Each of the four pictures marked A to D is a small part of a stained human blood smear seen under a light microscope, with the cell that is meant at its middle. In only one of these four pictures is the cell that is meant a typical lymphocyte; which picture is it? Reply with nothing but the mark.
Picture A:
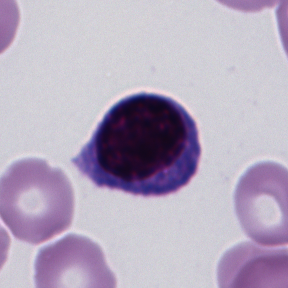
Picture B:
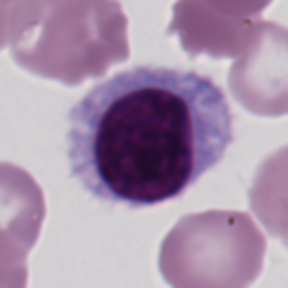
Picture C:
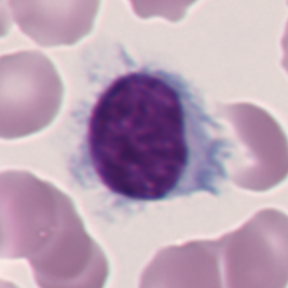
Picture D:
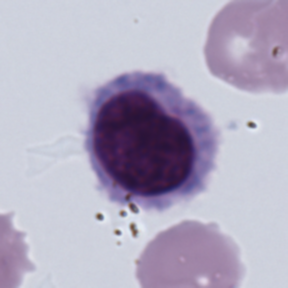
A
